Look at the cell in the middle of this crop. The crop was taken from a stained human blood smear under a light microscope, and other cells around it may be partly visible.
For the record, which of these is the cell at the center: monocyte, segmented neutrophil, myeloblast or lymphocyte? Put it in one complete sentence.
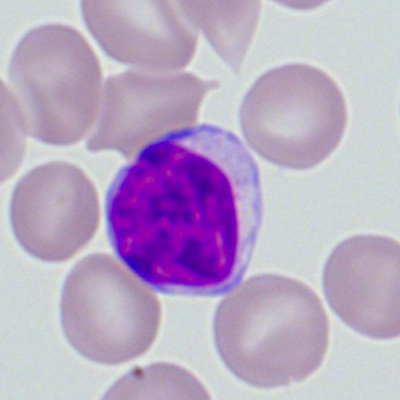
This particular crop is centered on a lymphocyte.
